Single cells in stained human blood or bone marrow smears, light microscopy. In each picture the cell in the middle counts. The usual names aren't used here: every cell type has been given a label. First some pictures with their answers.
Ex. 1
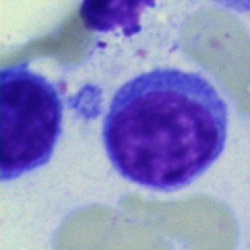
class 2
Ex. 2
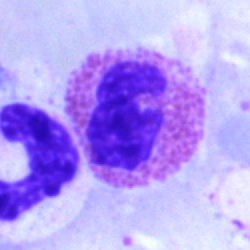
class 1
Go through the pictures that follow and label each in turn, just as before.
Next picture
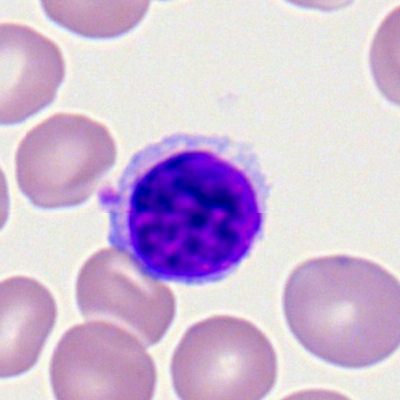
class 2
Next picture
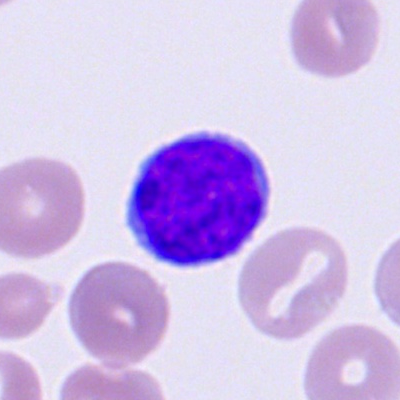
class 2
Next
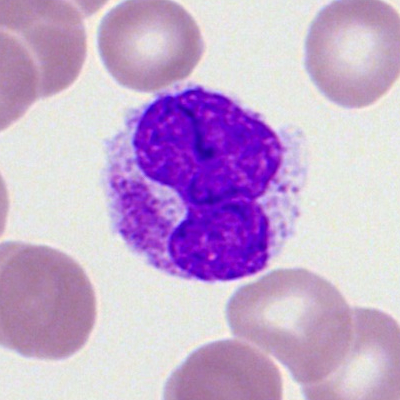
class 1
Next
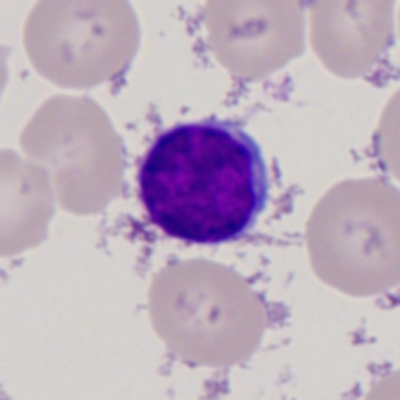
class 2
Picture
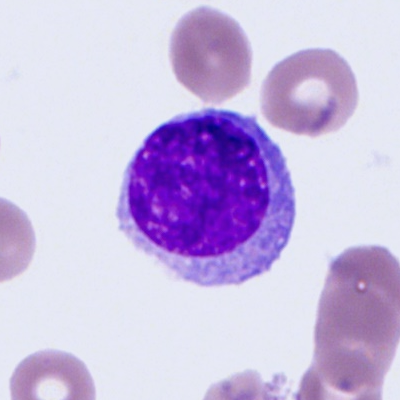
class 2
